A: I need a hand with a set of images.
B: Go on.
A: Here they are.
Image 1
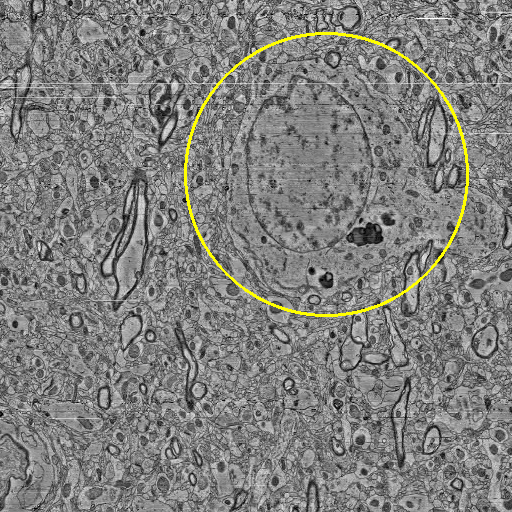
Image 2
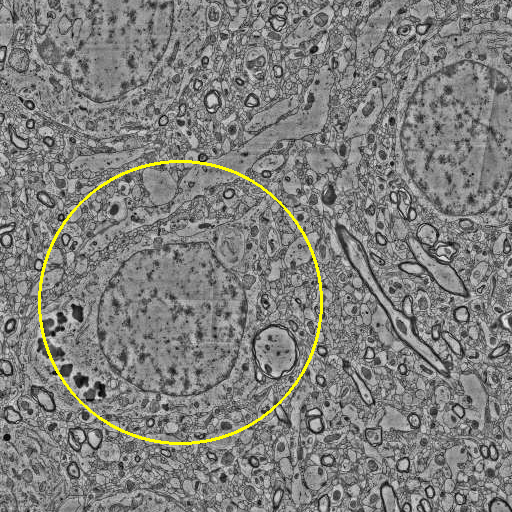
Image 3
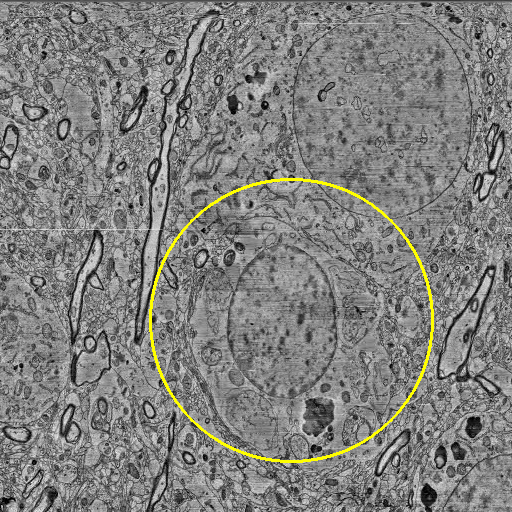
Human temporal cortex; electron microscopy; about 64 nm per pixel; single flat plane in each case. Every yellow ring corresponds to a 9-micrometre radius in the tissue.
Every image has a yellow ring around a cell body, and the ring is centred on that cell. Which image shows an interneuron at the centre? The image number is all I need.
2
